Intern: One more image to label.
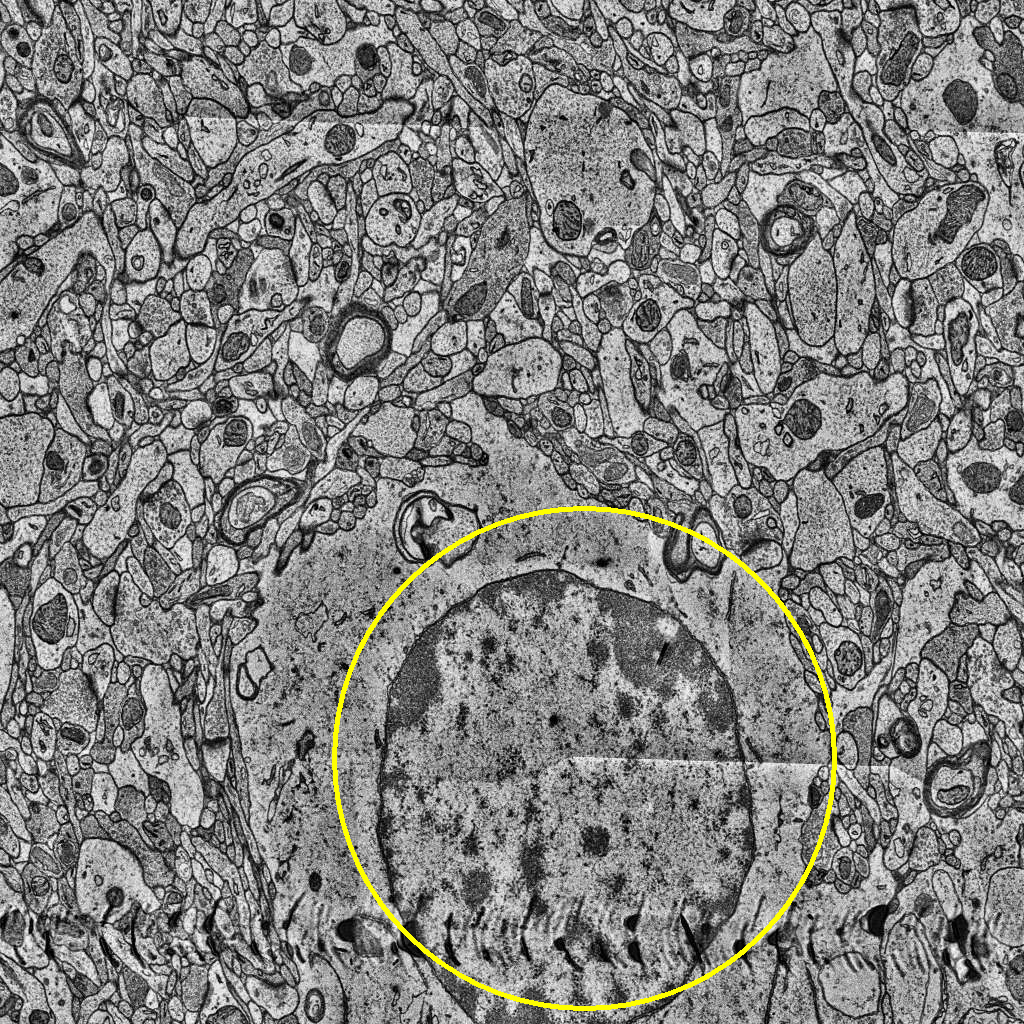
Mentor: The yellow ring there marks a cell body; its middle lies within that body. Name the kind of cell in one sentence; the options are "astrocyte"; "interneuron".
The ring marks the cell body of an astrocyte.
